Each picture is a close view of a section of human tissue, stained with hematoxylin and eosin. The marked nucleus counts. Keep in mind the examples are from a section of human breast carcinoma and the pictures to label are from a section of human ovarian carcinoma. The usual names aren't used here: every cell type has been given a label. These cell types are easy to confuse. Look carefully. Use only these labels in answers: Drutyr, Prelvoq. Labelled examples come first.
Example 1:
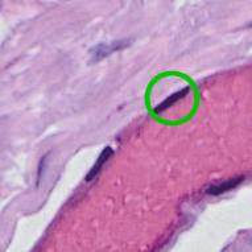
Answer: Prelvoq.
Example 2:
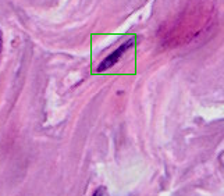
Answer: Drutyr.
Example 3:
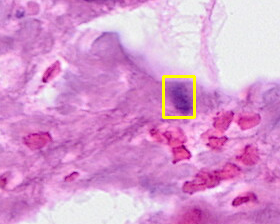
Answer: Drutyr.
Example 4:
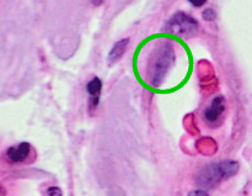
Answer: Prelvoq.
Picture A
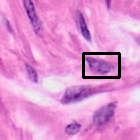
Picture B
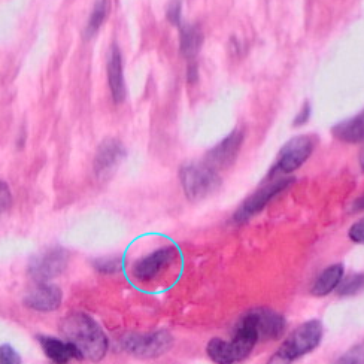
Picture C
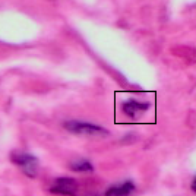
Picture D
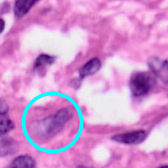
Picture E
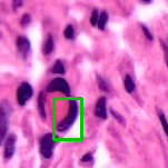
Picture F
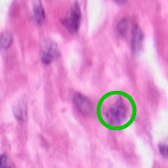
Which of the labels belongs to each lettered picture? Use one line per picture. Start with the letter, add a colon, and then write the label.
A: Drutyr.
B: Prelvoq.
C: Drutyr.
D: Prelvoq.
E: Prelvoq.
F: Drutyr.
